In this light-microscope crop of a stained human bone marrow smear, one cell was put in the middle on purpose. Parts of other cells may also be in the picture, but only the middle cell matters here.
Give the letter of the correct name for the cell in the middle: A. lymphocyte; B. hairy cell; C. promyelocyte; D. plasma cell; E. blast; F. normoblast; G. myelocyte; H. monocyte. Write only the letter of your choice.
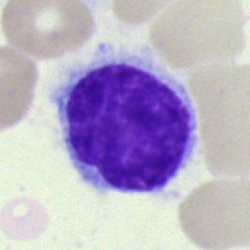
B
